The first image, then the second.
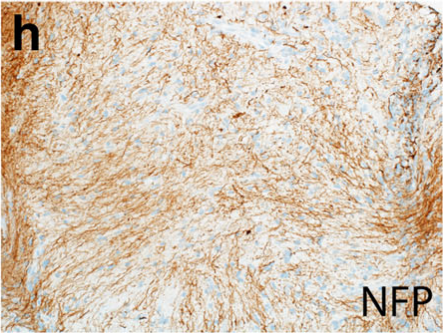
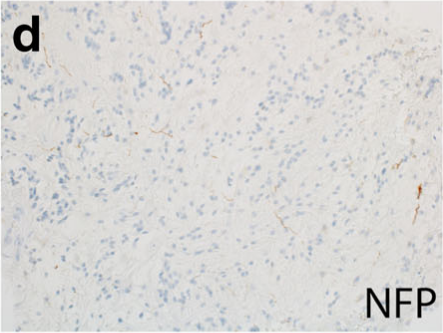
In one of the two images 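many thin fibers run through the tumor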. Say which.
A: the first image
